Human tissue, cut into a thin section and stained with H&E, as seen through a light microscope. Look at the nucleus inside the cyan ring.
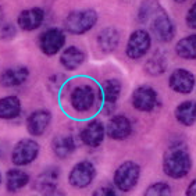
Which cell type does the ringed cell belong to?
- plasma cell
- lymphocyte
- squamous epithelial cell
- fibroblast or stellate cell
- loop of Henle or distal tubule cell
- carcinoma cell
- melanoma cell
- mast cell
plasma cell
